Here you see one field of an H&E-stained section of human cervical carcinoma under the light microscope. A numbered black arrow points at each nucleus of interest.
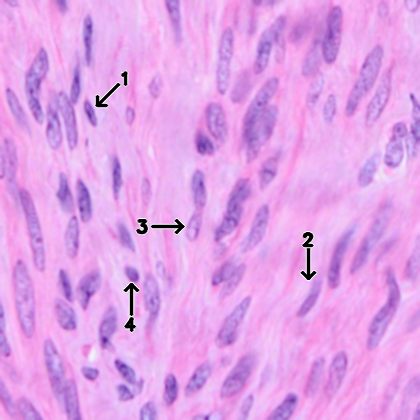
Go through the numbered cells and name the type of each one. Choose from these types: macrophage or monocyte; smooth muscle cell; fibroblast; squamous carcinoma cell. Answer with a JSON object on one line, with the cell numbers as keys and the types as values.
{"1": "fibroblast", "2": "smooth muscle cell", "3": "smooth muscle cell", "4": "smooth muscle cell"}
